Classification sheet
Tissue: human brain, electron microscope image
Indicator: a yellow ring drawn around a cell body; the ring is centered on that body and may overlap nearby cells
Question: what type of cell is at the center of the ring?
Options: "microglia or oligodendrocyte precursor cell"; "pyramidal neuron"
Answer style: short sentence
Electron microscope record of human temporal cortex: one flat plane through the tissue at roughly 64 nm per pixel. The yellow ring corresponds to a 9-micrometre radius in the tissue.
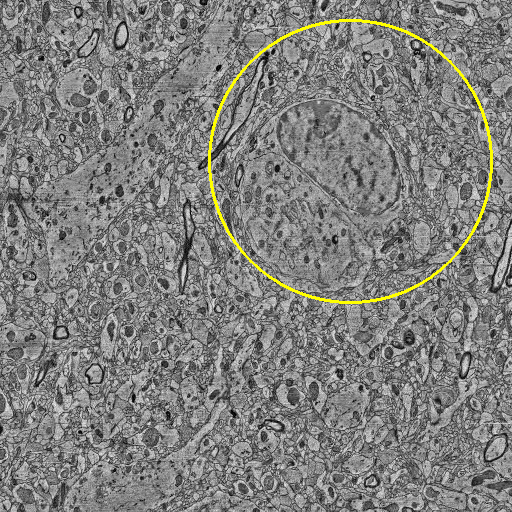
At the ring's center is a microglial cell or oligodendrocyte precursor cell.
